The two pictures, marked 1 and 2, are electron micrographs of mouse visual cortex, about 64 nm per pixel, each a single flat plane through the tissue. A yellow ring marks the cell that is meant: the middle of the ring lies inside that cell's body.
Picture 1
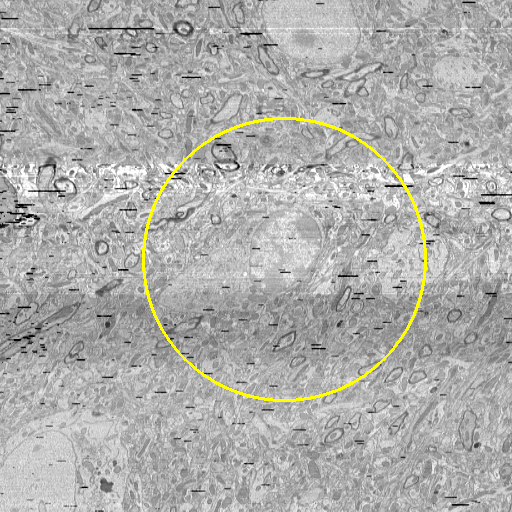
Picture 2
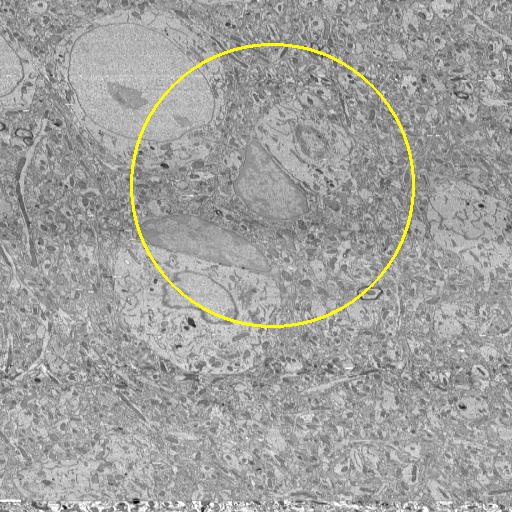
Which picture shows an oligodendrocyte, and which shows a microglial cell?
Picture 2 shows a microglial cell, while picture 1 shows an oligodendrocyte.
